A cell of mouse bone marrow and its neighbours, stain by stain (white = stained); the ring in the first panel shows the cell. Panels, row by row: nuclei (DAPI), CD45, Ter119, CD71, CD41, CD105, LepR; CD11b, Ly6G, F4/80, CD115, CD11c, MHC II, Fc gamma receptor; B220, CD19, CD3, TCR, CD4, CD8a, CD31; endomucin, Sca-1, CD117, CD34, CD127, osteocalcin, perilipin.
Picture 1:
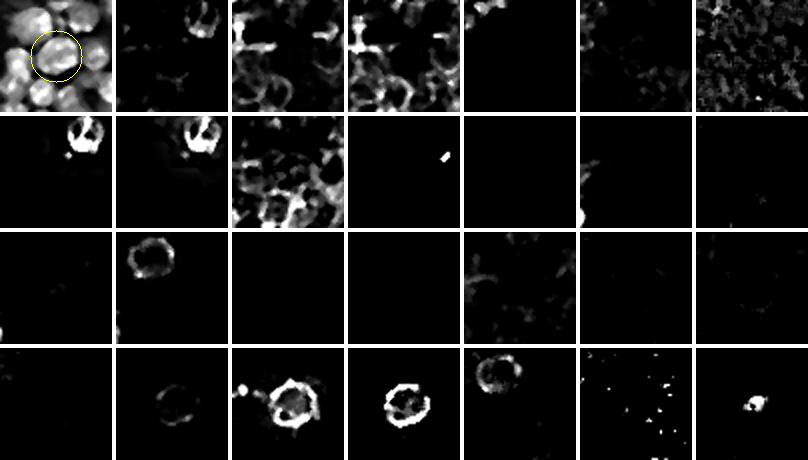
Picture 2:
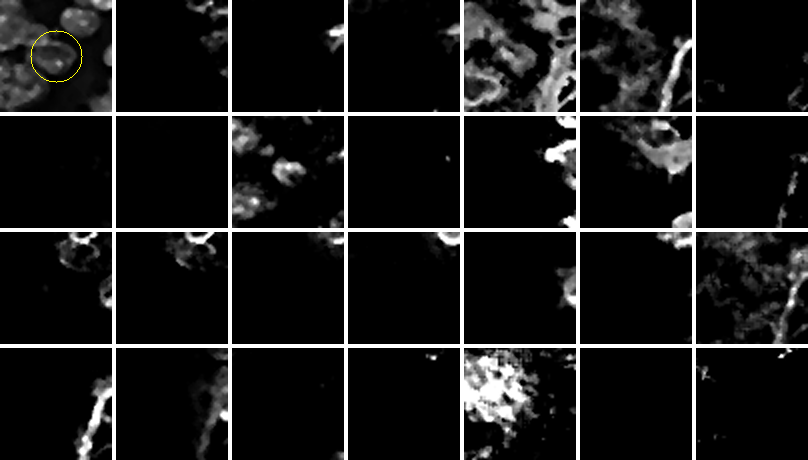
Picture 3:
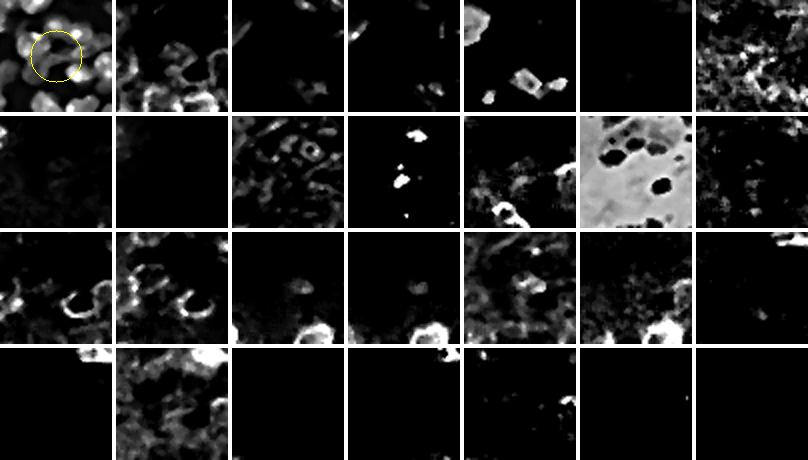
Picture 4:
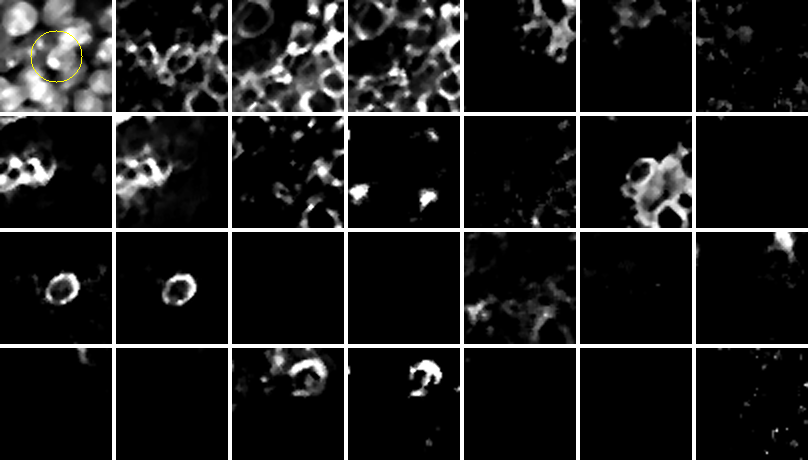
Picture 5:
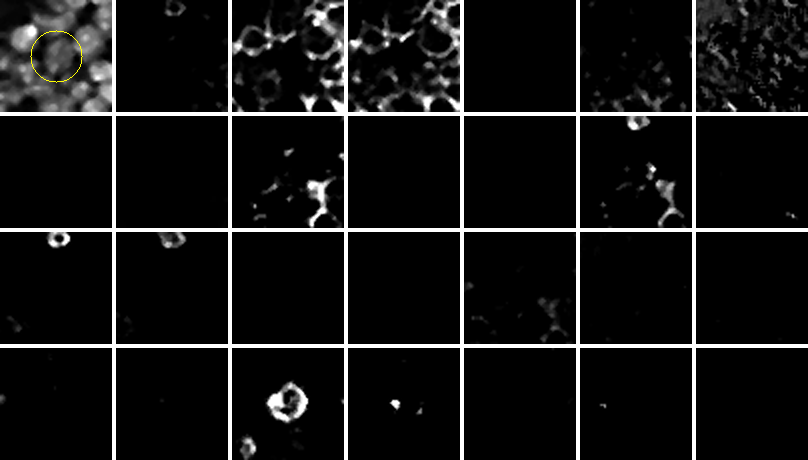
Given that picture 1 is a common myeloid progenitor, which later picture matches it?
5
